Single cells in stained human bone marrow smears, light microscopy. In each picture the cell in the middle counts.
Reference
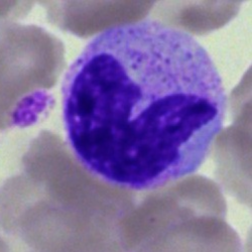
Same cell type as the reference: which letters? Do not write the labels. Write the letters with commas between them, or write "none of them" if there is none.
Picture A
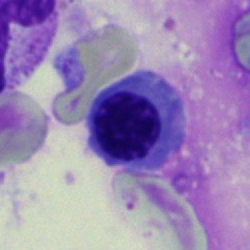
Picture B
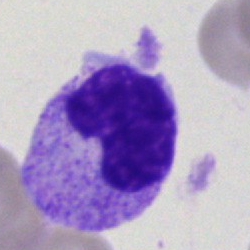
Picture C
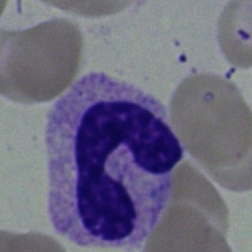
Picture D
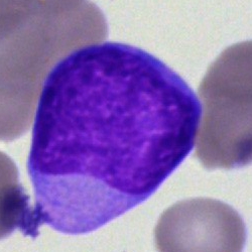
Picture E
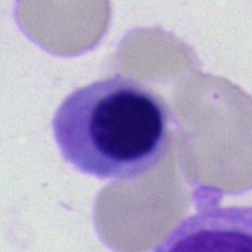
B, C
